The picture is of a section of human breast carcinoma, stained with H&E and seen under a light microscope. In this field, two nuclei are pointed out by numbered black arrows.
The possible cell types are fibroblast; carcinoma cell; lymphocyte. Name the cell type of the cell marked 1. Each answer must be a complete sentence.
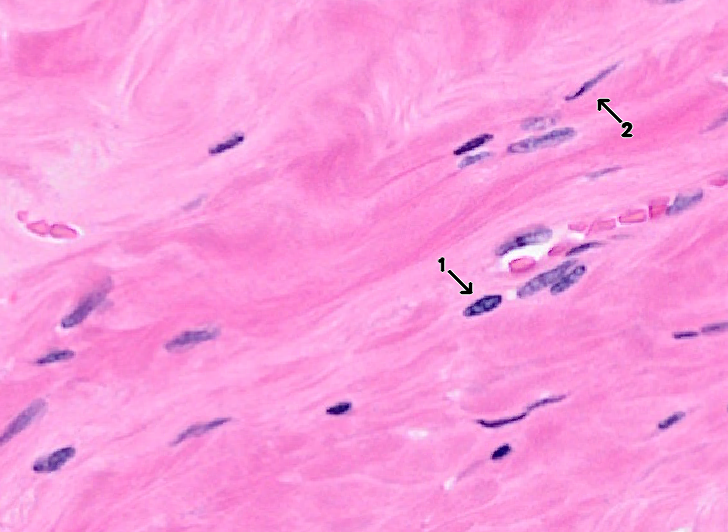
As for number 1, that cell is a lymphocyte.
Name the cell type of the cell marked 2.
Numbered cell 2 is a fibroblast in this tissue section.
